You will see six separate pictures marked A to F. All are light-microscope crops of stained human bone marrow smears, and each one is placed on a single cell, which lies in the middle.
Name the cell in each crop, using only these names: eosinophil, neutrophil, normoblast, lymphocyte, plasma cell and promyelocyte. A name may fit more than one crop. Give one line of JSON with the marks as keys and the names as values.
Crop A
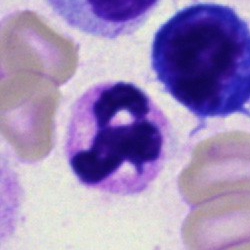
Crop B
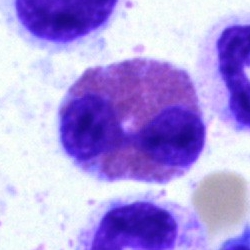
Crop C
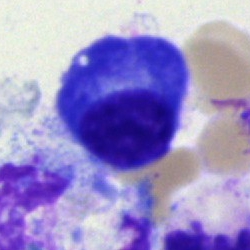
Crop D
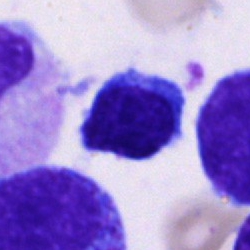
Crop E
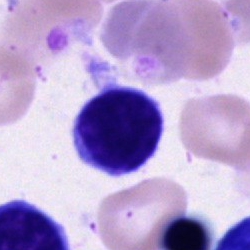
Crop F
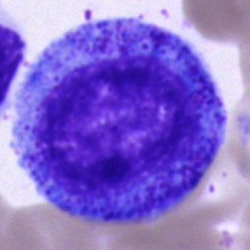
{"A": "neutrophil", "B": "eosinophil", "C": "plasma cell", "D": "lymphocyte", "E": "lymphocyte", "F": "promyelocyte"}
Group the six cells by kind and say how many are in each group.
lymphocyte: 2
neutrophil: 1
eosinophil: 1
plasma cell: 1
promyelocyte: 1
